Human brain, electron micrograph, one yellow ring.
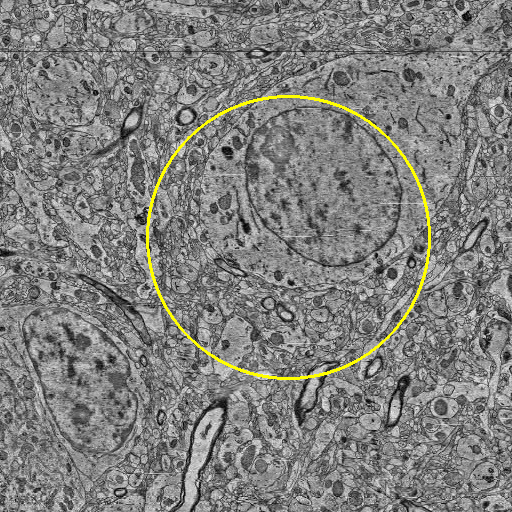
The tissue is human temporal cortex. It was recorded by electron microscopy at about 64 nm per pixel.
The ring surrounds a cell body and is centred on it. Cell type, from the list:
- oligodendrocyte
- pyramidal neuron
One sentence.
The yellow ring circles a pyramidal neuron.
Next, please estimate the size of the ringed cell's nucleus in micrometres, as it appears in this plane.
In this plane the nucleus measures roughly 11 by 9 micrometres.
